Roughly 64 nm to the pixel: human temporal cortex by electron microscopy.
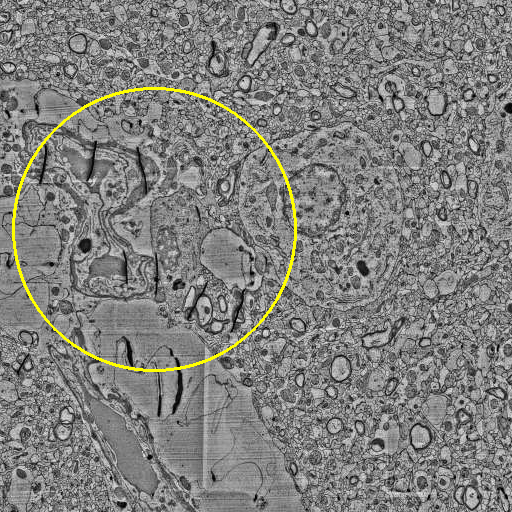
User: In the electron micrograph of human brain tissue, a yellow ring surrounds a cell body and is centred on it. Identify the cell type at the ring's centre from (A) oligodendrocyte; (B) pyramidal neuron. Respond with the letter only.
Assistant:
A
